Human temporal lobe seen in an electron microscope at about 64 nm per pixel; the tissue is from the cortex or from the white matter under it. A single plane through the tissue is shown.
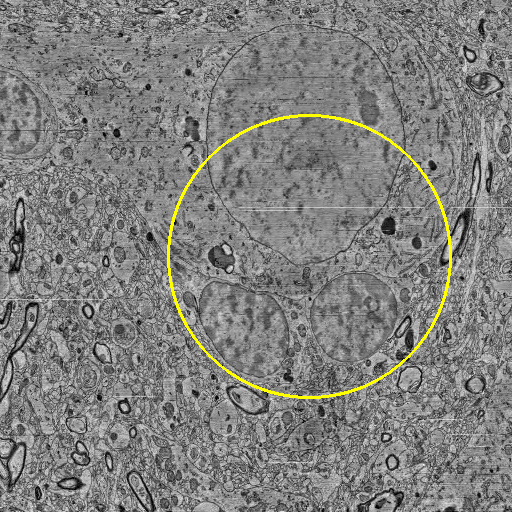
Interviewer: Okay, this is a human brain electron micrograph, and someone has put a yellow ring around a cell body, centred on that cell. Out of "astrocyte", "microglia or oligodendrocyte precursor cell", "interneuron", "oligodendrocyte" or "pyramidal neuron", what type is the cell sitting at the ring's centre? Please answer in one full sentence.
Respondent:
The cell at the centre of the yellow ring in this picture is a pyramidal neuron.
